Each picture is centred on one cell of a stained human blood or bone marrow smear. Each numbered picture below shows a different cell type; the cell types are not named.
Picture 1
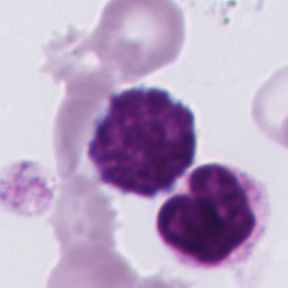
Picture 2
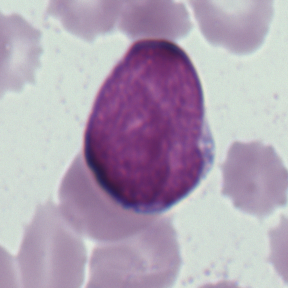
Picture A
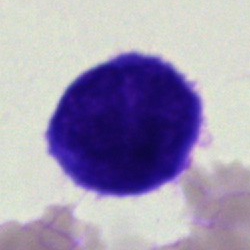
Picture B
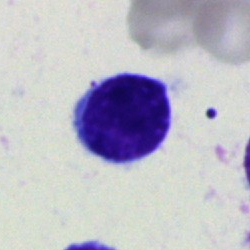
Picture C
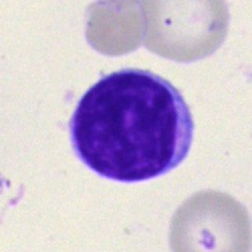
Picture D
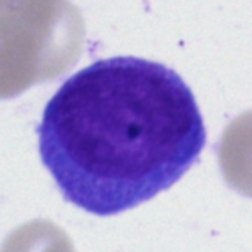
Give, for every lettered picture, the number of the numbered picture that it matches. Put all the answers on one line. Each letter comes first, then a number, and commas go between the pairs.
A 2, B 1, C 1, D 2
